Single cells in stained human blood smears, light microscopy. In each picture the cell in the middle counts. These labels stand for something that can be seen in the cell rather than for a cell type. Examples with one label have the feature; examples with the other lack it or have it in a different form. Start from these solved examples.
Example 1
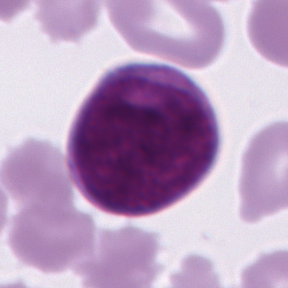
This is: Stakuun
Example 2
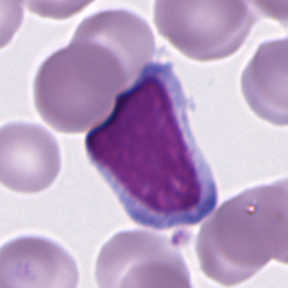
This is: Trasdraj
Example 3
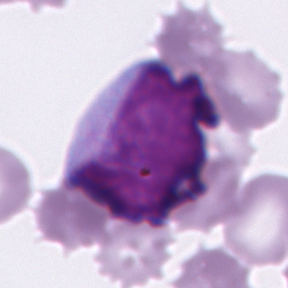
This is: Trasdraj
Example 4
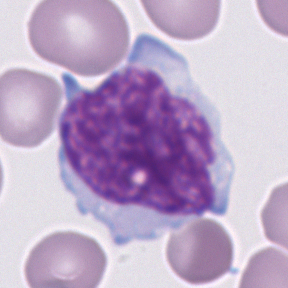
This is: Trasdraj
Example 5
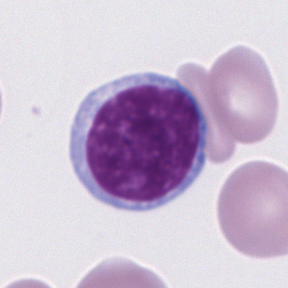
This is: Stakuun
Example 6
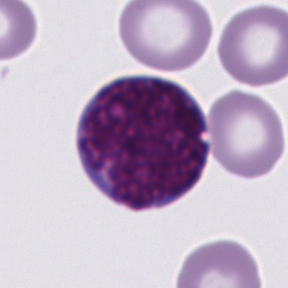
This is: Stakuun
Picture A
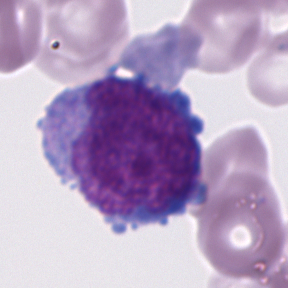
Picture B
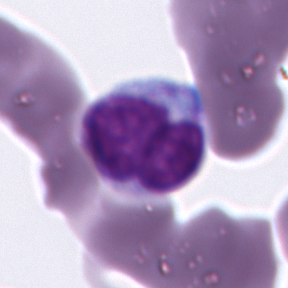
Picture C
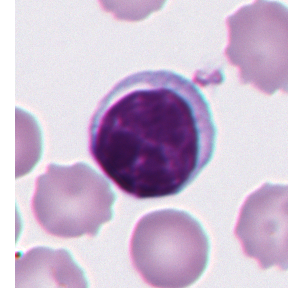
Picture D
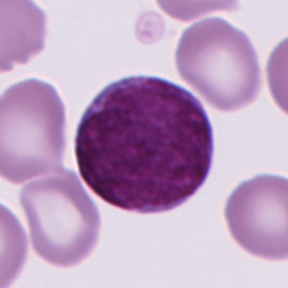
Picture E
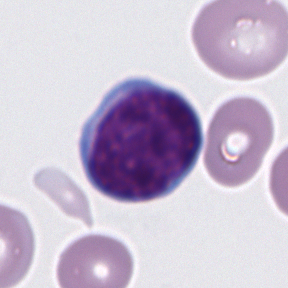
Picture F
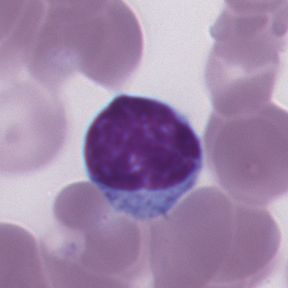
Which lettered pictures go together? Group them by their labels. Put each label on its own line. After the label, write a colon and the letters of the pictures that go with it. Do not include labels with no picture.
Stakuun: B, C, D, E, F
Trasdraj: A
